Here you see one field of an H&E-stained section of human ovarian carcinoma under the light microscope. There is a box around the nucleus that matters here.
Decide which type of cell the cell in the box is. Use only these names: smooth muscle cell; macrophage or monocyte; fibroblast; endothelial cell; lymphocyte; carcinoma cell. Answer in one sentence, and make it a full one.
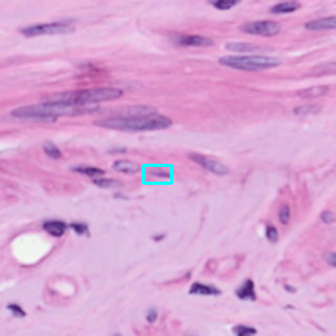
Cell type answer for this item: the cell in the box is a smooth muscle cell.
